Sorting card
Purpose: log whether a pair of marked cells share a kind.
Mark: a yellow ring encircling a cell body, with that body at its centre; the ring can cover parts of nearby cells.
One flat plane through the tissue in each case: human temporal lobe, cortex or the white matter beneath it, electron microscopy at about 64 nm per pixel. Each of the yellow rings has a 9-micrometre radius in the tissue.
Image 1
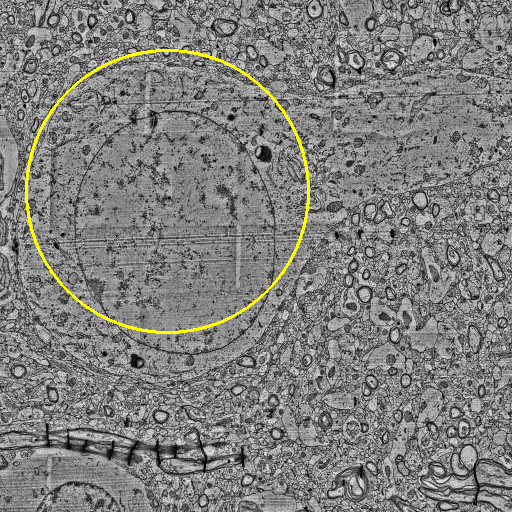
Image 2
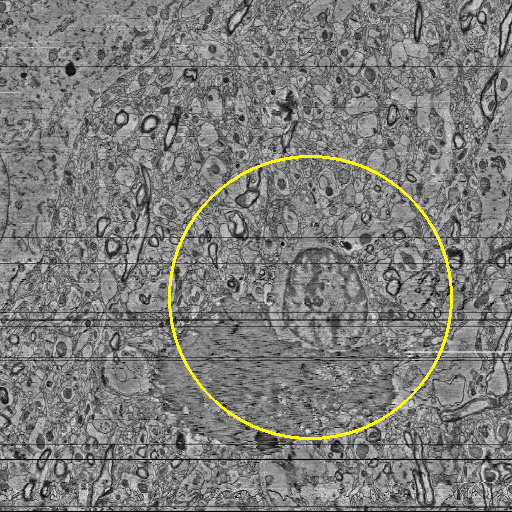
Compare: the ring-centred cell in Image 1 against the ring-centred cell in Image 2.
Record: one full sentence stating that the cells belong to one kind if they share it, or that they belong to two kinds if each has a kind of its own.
Across Images 1 and 2, the two ring-centred cells belong to two kinds.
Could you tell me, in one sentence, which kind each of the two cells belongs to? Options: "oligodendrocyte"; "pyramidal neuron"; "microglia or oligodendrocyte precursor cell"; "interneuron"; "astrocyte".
At the centre of the first ring sits a pyramidal neuron, and at the centre of the second sits an oligodendrocyte.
